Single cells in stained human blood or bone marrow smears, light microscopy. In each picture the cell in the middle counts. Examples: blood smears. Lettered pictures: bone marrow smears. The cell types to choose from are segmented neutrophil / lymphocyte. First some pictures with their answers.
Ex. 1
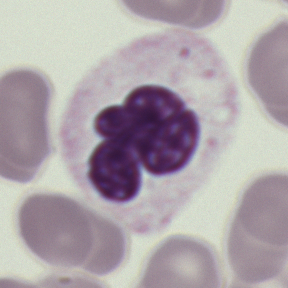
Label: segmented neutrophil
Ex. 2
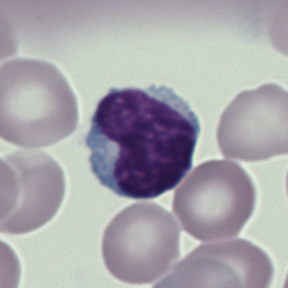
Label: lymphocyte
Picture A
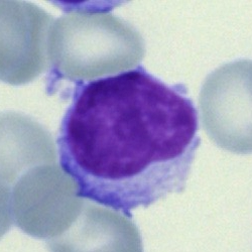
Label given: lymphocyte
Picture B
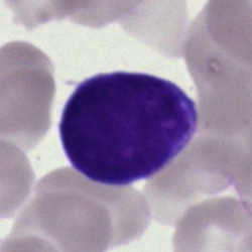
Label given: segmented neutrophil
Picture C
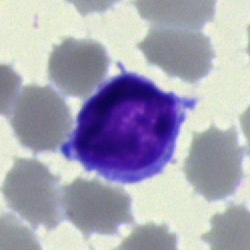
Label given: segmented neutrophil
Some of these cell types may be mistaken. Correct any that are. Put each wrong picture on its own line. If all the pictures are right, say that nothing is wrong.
B: lymphocyte, not segmented neutrophil
C: lymphocyte, not segmented neutrophil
